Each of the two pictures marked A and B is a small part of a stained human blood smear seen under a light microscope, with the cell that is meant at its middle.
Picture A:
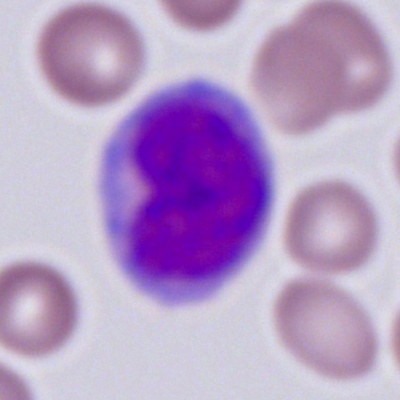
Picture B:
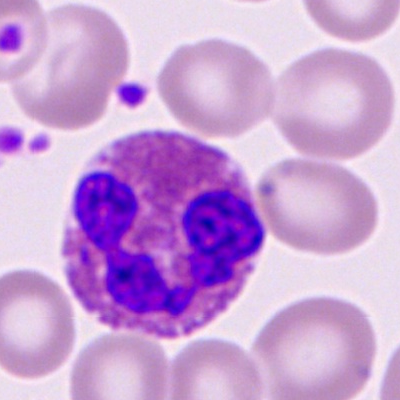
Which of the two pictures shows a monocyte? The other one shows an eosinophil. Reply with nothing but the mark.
A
